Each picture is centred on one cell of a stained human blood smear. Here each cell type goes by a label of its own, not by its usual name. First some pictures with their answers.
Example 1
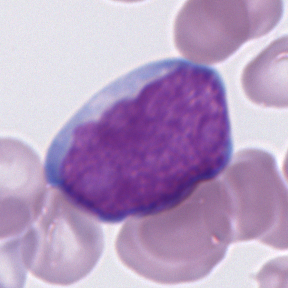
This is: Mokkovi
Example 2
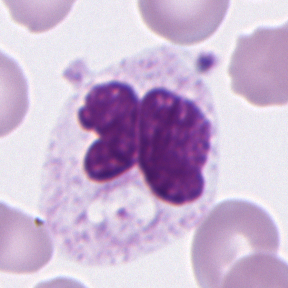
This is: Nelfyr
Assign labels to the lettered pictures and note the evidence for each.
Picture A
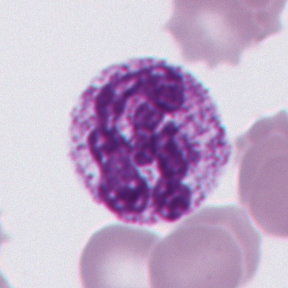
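Answer: Nelfyr. Granules fill the cytoplasm all around the nucleus.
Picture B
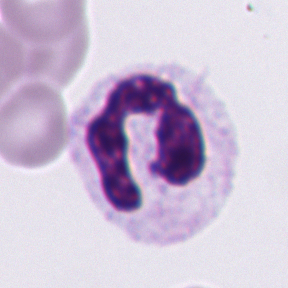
Answer: Nelfyr. The cytoplasm is abundant and pale pinkish-lilac.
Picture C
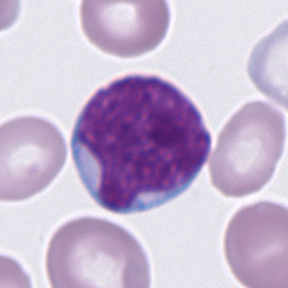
Answer: Mokkovi. The cytoplasm is a scant pale blue rim, widest at the lower left.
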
